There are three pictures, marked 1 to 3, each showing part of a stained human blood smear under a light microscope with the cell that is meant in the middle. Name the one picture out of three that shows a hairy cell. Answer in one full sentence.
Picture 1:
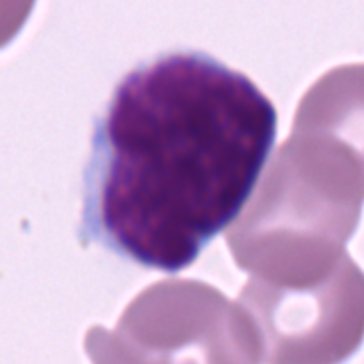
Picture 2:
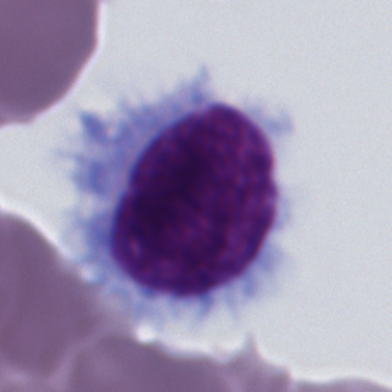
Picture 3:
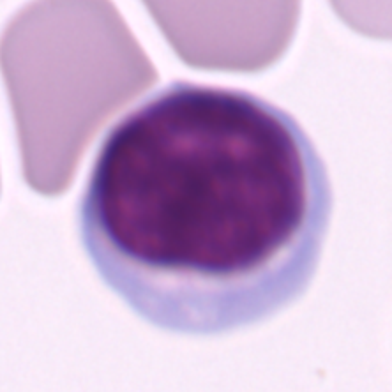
The cell in picture 2 is the hairy cell.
